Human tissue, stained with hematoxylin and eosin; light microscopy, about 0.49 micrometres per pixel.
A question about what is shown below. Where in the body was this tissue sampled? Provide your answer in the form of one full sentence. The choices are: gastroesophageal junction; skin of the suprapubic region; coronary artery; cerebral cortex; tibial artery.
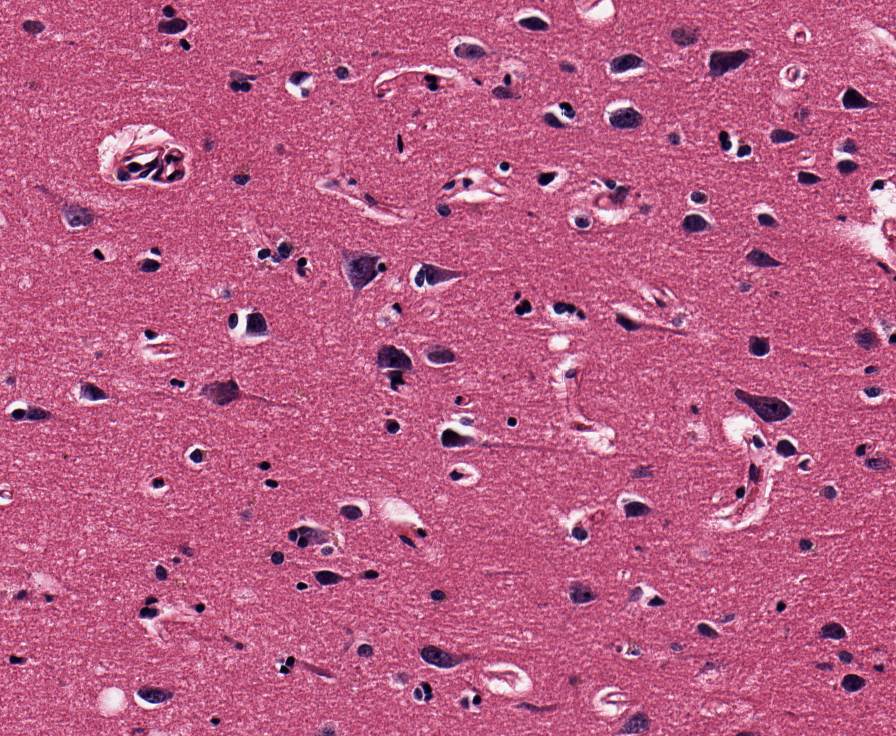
The tissue in view was sampled from the cerebral cortex.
